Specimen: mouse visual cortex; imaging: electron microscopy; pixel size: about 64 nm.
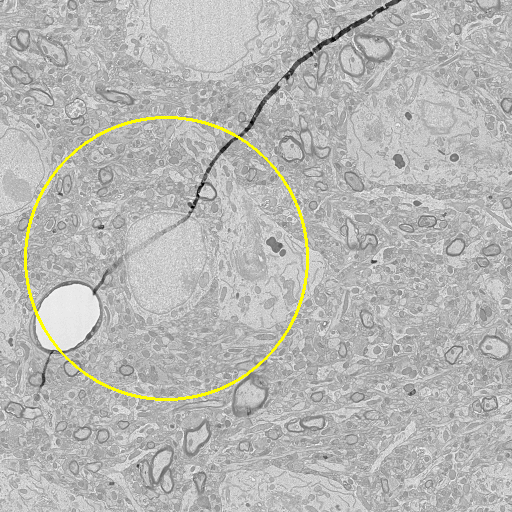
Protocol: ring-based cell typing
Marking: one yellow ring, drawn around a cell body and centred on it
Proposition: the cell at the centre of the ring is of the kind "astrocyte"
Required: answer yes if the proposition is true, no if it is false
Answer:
yes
